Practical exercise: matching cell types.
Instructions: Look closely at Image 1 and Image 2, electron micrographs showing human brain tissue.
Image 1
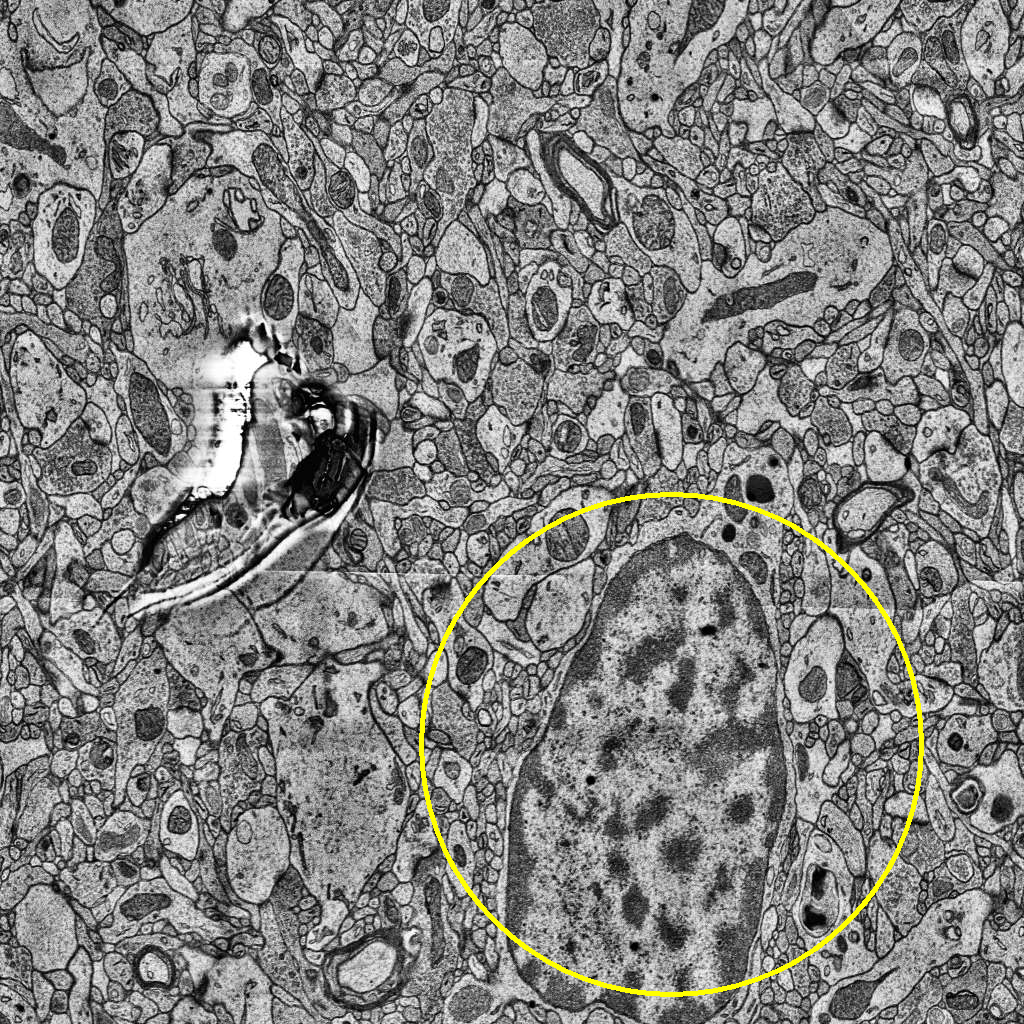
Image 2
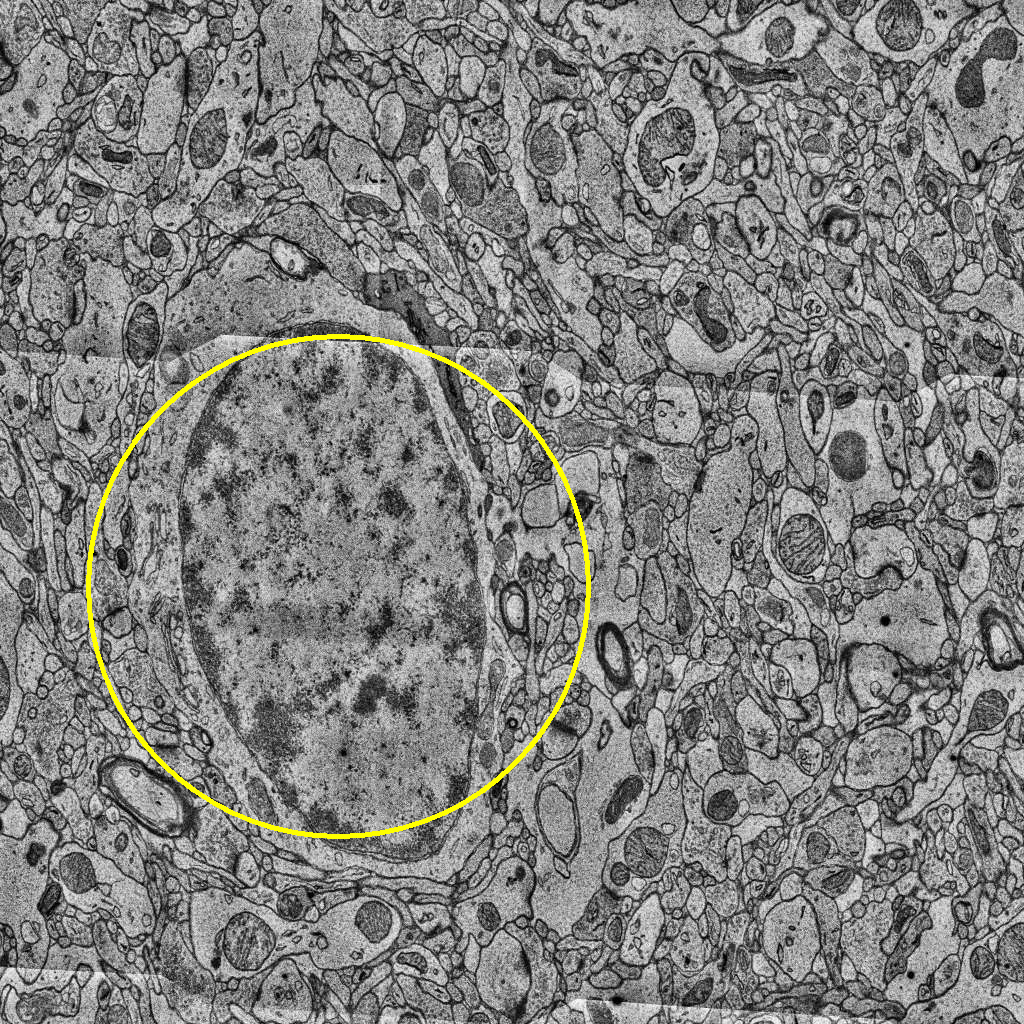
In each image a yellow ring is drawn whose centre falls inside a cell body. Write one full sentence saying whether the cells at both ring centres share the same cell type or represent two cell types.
Across Image 1 and Image 2, the cells at the ring centres share the same cell type.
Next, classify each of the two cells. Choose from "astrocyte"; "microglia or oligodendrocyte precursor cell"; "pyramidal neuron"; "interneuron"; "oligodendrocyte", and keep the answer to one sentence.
Both pictures show a microglial cell or oligodendrocyte precursor cell at the centre of the ring.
